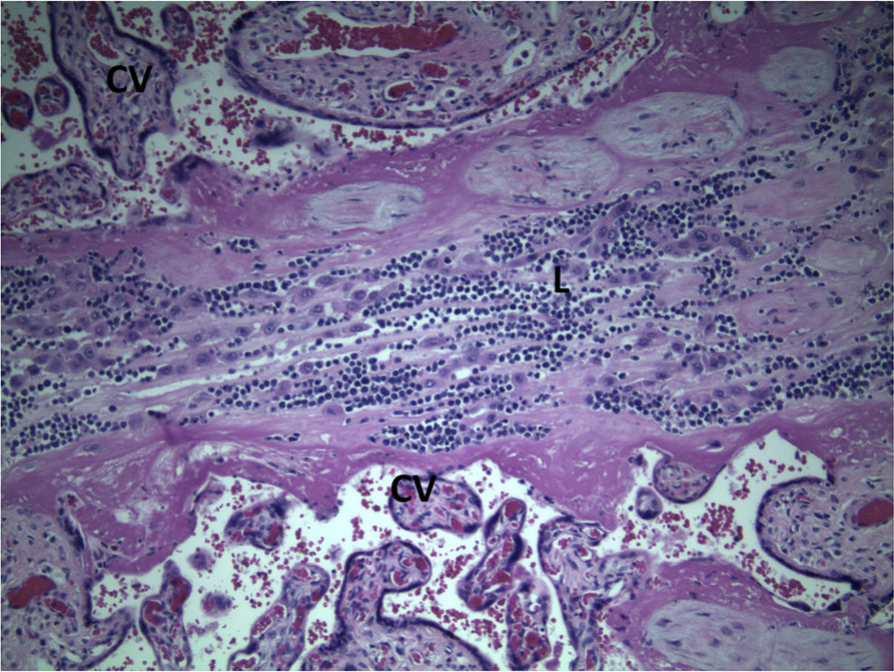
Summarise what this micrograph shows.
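Above and below lie chorionic villi, rounded and branching, each covered by a thin layer of trophoblast with dark nuclei, with loose stroma and capillaries full of red cells. The spaces between the villi hold scattered red blood cells.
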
